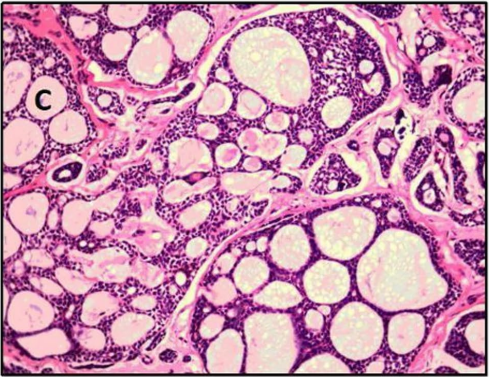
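Adenoid cystic carcinoma in a cribriform pattern: nests of small basaloid tumor cells with dark, crowded nuclei and scant cytoplasm are perforated by numerous round, punched-out spaces of varying size. The spaces hold pale pink material, and the nests are separated by thin pink fibrous septa.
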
